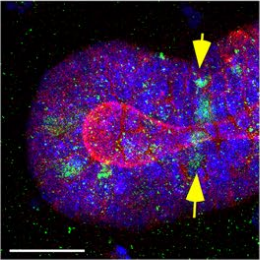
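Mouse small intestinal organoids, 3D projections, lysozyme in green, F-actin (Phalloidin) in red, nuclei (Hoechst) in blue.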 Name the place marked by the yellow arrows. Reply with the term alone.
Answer: Away from the crypt base.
